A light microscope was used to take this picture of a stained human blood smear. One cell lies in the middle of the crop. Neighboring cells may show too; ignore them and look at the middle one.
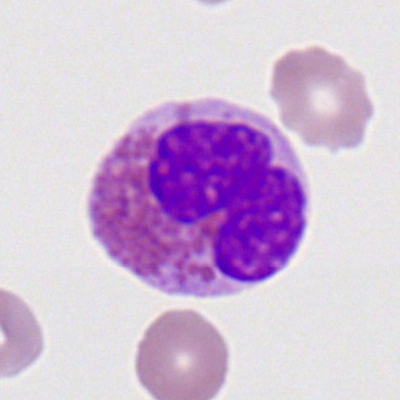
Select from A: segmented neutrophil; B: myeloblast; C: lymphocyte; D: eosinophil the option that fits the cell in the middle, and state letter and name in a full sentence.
According to option D, which is correct, the cell in the middle is an eosinophil.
